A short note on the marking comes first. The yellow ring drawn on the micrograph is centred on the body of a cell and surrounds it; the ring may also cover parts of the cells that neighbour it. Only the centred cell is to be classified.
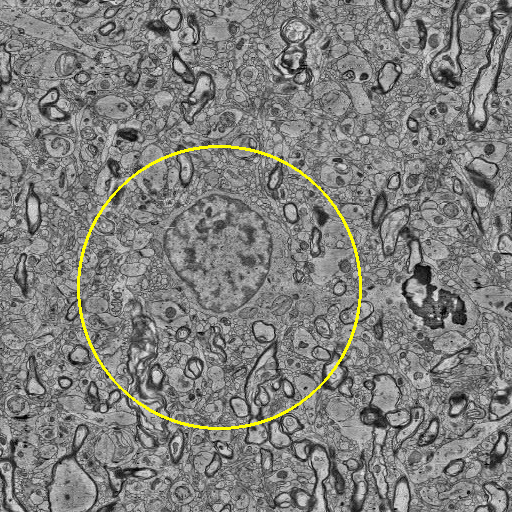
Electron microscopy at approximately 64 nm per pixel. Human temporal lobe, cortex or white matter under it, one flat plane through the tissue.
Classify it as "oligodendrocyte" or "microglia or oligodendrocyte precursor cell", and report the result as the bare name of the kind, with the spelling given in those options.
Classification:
oligodendrocyte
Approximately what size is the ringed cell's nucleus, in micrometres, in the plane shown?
About 7 micrometres across in this plane, for the nucleus.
